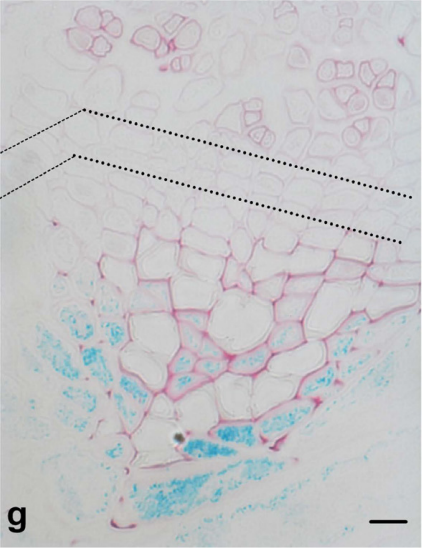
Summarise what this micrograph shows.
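Small cell groups lie in the upper part, thin-walled cells in rows lie in the middle, and larger cells lie below. Patches of light blue granular staining fill several elongated cells along the lower edge of the bundle.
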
